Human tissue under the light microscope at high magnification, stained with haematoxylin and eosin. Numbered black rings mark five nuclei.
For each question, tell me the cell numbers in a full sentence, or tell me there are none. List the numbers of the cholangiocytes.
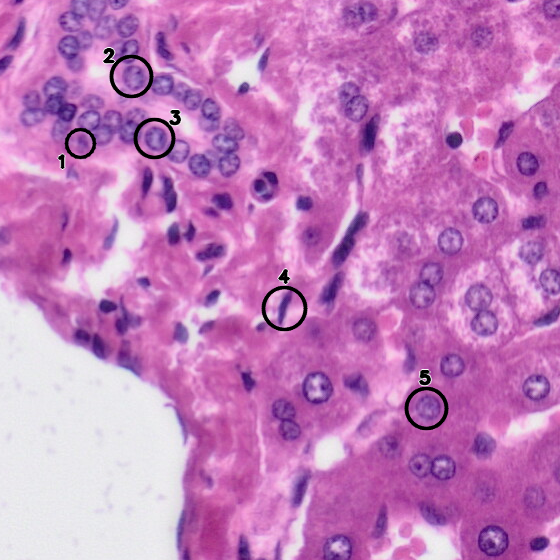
The cells with labels 1, 2 and 3 are cholangiocytes.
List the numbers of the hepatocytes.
It is only cell 5 that is a hepatocyte among the numbered cells.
